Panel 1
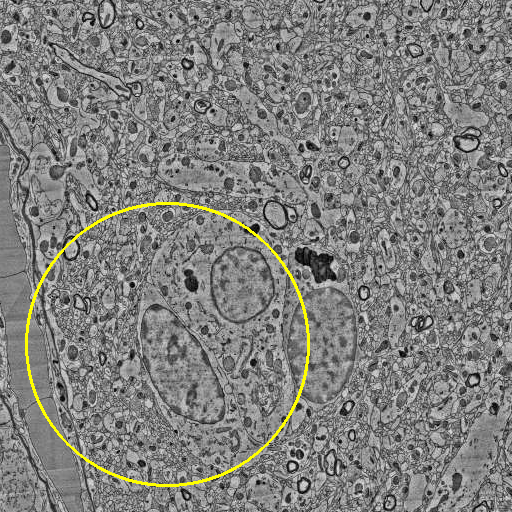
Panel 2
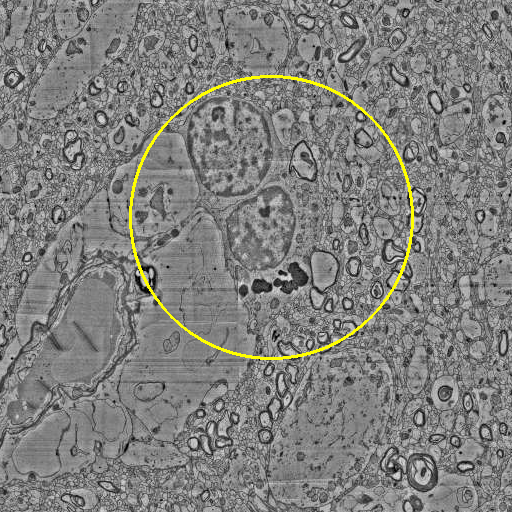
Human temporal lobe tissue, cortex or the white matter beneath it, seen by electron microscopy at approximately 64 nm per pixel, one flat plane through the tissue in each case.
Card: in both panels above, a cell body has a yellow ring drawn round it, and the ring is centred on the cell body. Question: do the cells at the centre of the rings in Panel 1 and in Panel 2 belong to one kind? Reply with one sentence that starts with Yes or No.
No, the cells centred in the rings of Panel 1 and Panel 2 are two kinds of cell.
